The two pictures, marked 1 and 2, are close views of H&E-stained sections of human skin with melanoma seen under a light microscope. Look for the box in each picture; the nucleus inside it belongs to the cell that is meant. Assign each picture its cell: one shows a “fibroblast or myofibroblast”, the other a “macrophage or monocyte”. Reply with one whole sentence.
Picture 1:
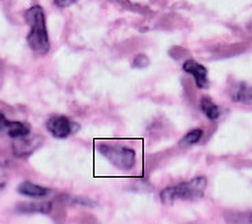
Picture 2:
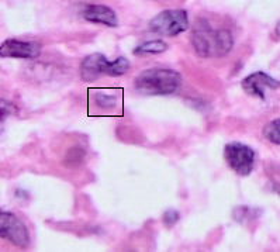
The cell in picture 1 is a “fibroblast or myofibroblast”, and the one in picture 2 is a “macrophage or monocyte”.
